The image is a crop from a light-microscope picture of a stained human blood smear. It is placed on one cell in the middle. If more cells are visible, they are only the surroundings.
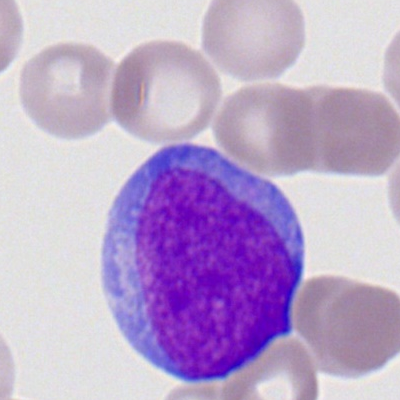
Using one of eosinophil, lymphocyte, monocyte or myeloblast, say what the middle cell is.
myeloblast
